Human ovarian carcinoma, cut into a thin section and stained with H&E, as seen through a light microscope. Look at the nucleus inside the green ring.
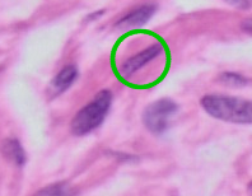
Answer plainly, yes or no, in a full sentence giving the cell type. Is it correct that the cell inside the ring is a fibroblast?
Yes, a fibroblast is the correct identification for the cell inside the ring.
